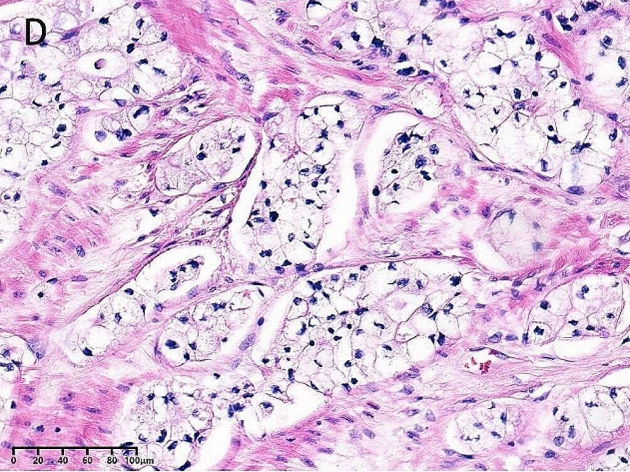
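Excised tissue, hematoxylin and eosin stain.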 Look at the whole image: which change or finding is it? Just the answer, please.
Atypical cells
